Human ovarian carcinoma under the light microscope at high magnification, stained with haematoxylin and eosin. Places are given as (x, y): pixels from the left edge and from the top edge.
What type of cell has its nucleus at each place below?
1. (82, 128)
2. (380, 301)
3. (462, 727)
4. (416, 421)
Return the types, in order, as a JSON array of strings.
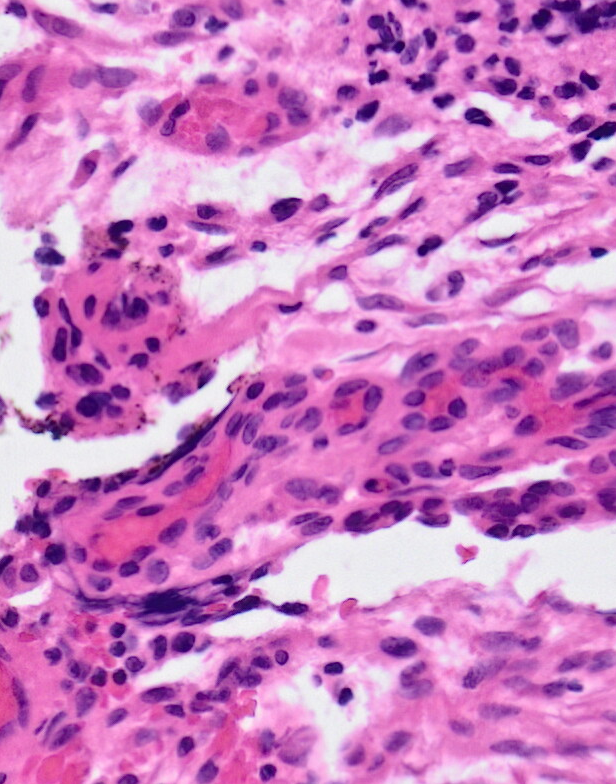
["fibroblast", "fibroblast", "fibroblast", "endothelial cell"]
